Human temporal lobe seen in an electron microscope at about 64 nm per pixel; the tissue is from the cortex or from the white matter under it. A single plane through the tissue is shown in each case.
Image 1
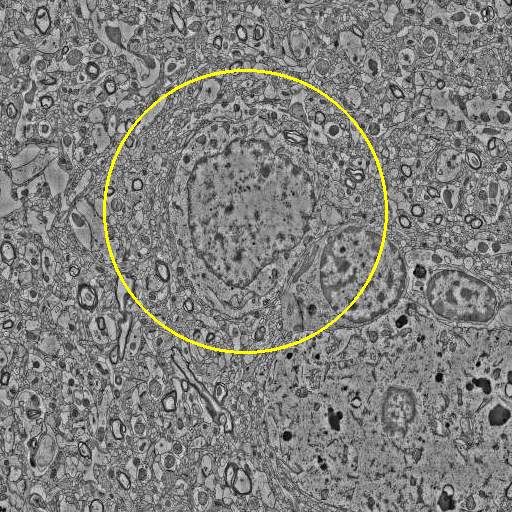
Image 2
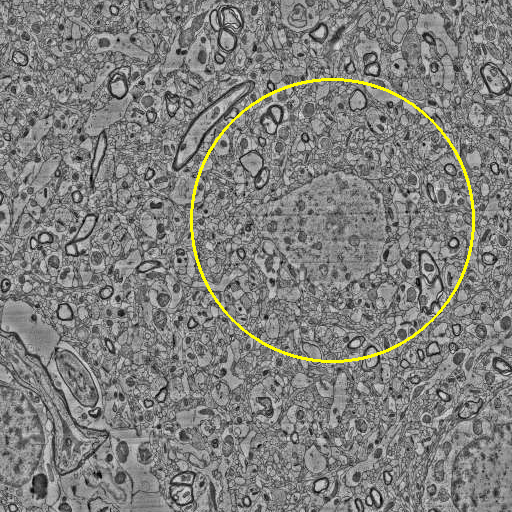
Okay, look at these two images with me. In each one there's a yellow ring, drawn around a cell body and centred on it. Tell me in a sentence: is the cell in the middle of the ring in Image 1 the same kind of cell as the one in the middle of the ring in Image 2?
Yes, they're the same kind of cell.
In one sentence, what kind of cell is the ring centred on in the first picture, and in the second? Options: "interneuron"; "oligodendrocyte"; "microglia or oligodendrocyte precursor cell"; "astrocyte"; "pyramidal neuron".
Each of the two rings is centred on an interneuron.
